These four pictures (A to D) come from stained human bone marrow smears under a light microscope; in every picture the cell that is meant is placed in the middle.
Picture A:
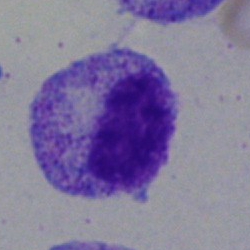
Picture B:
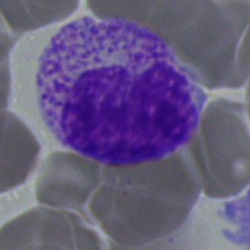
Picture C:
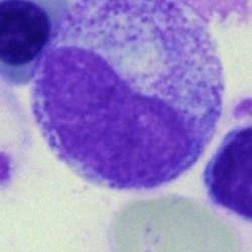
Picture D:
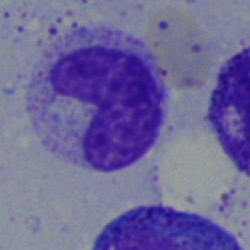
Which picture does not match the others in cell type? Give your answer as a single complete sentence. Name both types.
Picture A differs, because its cell is a myelocyte and the rest are metamyelocytes.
